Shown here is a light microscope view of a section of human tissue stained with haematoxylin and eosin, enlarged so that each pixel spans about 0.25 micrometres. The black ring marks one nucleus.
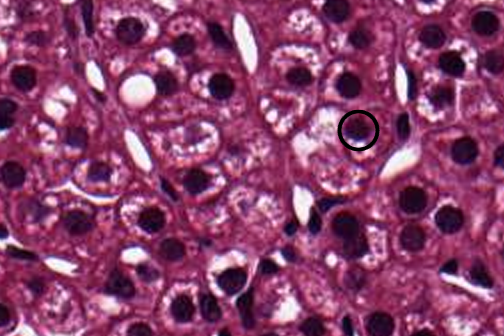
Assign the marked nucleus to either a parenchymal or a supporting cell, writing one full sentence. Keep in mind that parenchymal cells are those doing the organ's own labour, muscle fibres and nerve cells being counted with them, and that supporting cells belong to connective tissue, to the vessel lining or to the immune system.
It is the nucleus of an adrenal cortical cell, a parenchymal cell, that is marked.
